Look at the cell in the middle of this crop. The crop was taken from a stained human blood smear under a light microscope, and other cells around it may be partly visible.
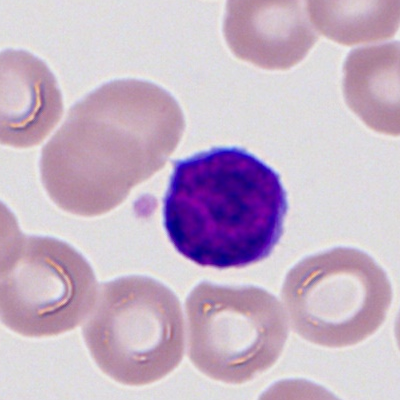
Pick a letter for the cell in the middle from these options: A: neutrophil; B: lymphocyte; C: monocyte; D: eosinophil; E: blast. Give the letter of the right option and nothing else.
B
